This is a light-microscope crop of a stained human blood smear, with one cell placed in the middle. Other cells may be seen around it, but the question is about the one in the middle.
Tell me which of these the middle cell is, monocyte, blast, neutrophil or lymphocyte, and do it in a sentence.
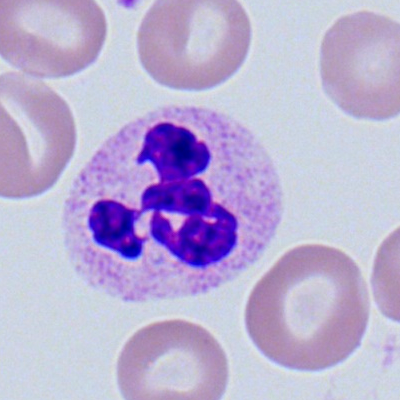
Among the cells in view, the one in the middle is a neutrophil.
